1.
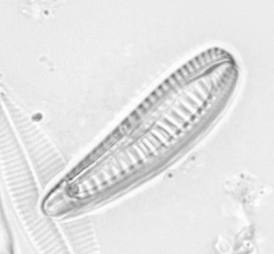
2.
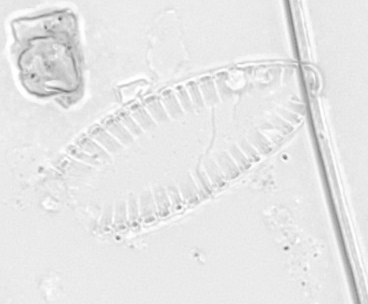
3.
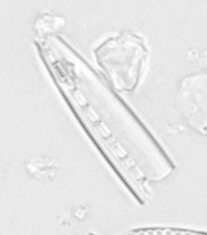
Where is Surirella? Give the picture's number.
2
